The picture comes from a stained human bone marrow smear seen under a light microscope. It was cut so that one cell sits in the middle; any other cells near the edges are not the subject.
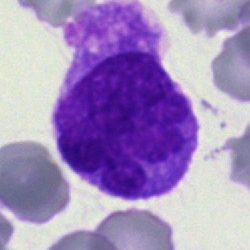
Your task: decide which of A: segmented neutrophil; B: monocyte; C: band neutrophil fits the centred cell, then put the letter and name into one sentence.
Option B is the keyed answer: the cell in the middle is a monocyte.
